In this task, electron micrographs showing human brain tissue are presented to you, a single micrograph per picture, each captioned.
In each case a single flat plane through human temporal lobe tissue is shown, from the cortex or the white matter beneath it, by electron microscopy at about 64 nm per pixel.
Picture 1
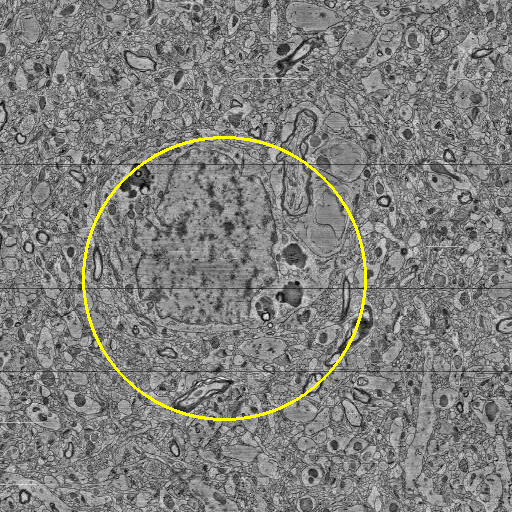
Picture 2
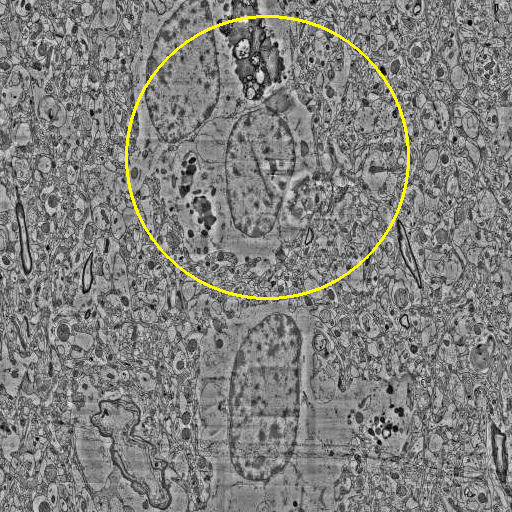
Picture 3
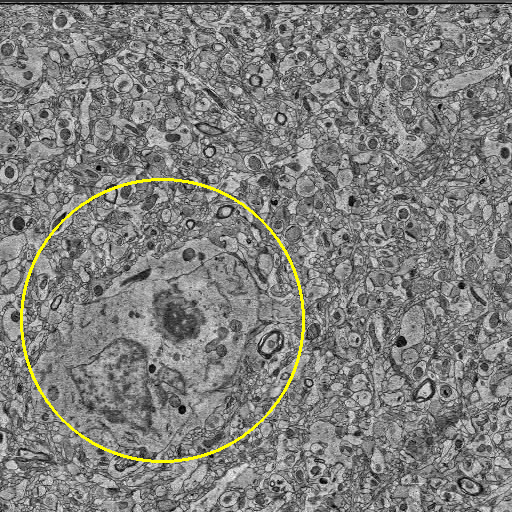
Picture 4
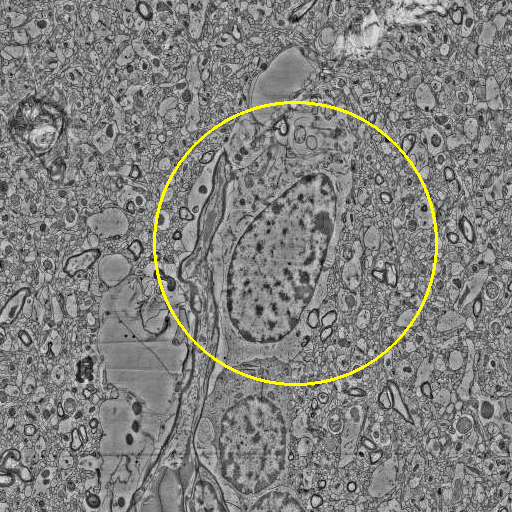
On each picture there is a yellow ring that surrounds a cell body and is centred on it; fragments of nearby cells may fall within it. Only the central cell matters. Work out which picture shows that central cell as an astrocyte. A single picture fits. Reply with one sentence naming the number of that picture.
Of all the pictures, number 2 has the right cell in the centre of its ring.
